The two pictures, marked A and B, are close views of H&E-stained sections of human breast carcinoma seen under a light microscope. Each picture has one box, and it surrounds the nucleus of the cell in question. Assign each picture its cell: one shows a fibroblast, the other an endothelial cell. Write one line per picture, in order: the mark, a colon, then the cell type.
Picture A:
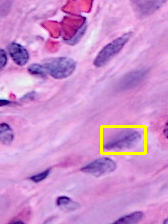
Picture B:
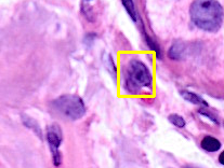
A: fibroblast
B: endothelial cell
